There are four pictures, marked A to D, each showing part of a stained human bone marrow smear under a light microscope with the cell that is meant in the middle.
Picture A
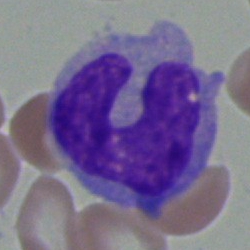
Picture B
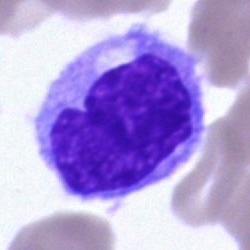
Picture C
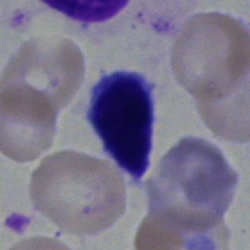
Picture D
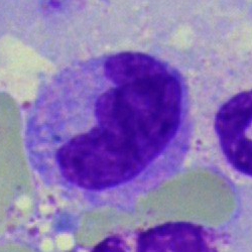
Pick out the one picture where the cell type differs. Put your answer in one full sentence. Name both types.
All pictures except C show monocytes; picture C shows a lymphocyte.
